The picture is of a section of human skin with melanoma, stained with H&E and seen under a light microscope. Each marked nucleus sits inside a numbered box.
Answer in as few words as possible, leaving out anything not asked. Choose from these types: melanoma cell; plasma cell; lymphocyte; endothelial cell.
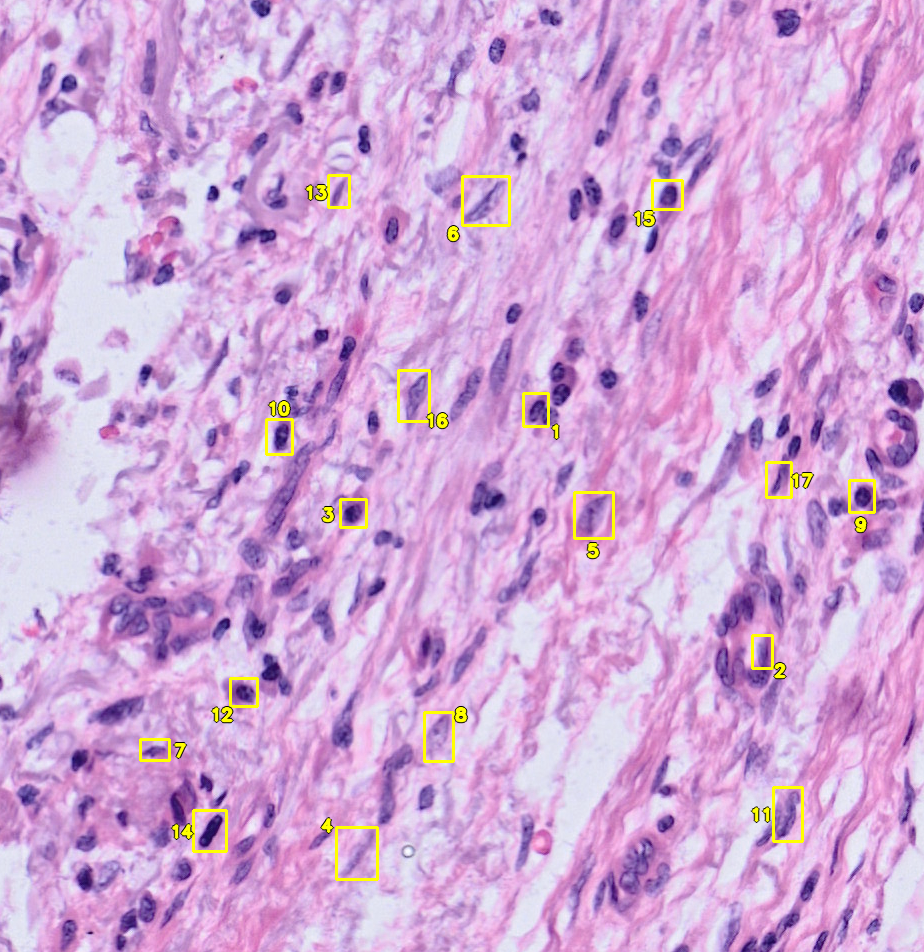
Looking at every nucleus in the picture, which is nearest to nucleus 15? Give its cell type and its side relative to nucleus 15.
a lymphocyte; above nucleus 15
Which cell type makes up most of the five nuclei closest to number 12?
plasma cell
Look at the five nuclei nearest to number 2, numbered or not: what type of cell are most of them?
endothelial cell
